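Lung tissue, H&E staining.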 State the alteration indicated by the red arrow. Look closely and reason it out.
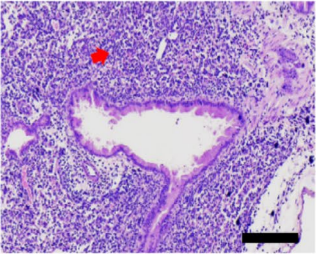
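The tissue around the airway is packed with densely crowded, dark purple nuclei. Alveolar spaces are almost entirely filled in and obscured by cells. The answer: Leukocyte infiltration.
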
